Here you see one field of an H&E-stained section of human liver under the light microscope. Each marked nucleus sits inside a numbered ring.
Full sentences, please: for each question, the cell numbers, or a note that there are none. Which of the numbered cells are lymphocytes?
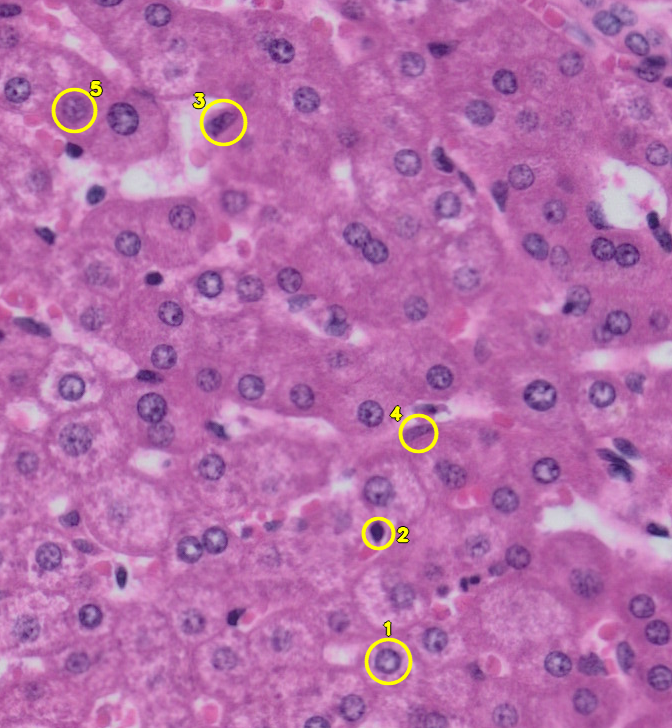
Of all the numbered cells, only cell 2 is a lymphocyte.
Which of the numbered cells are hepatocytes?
The cells to which the numbers 1 and 5 refer are hepatocytes.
